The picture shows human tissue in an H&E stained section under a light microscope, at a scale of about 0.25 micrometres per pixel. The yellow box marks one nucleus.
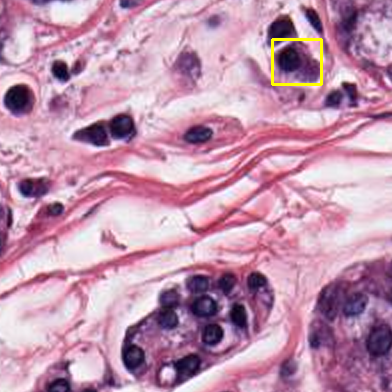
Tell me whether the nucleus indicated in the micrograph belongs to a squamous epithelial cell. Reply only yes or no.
no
